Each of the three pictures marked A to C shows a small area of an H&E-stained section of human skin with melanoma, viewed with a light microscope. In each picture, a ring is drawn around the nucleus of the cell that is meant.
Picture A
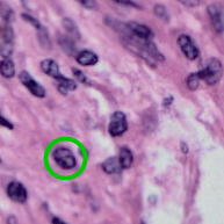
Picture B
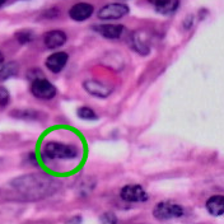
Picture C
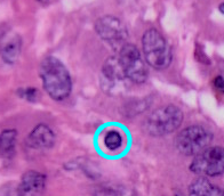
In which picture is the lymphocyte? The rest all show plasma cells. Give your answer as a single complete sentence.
Picture C is the one that shows the lymphocyte.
